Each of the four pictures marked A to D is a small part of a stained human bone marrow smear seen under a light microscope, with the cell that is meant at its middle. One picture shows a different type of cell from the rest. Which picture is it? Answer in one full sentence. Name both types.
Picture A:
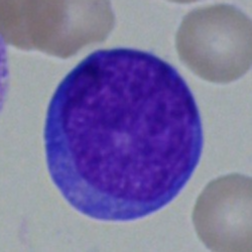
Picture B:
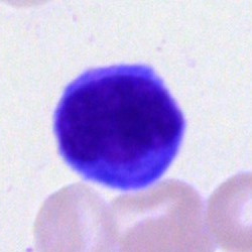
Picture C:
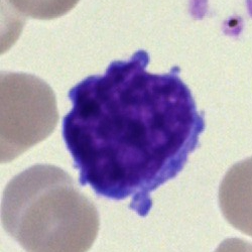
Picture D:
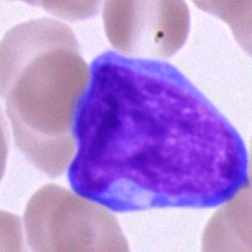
Unlike the rest, which show blasts, picture B shows a monocyte.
